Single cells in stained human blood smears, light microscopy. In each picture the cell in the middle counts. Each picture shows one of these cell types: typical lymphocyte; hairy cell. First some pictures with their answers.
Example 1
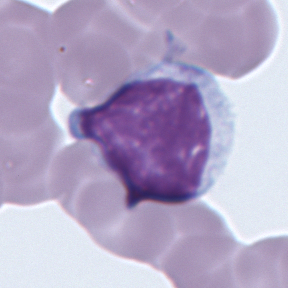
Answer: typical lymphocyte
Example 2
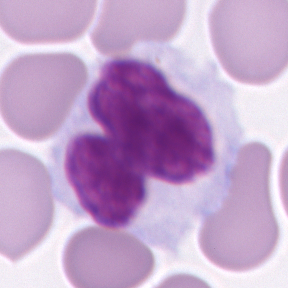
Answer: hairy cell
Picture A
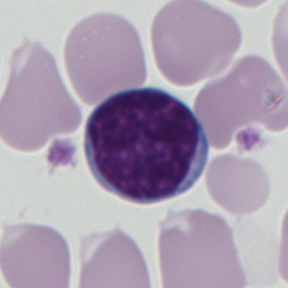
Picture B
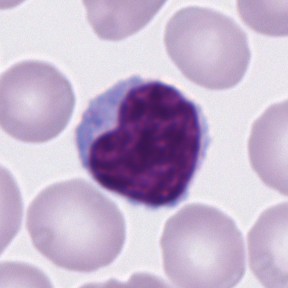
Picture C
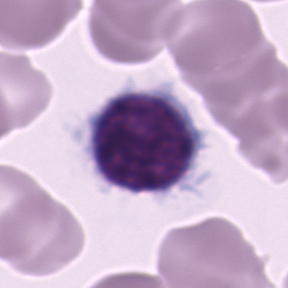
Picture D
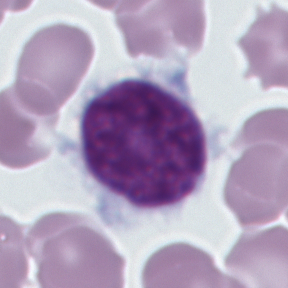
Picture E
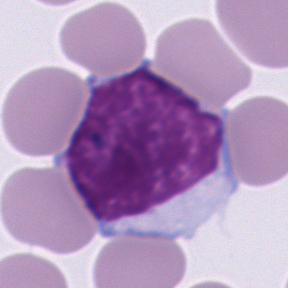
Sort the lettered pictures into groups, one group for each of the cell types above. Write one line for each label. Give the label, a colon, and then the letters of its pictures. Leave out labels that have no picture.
typical lymphocyte: A, B, E
hairy cell: C, D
